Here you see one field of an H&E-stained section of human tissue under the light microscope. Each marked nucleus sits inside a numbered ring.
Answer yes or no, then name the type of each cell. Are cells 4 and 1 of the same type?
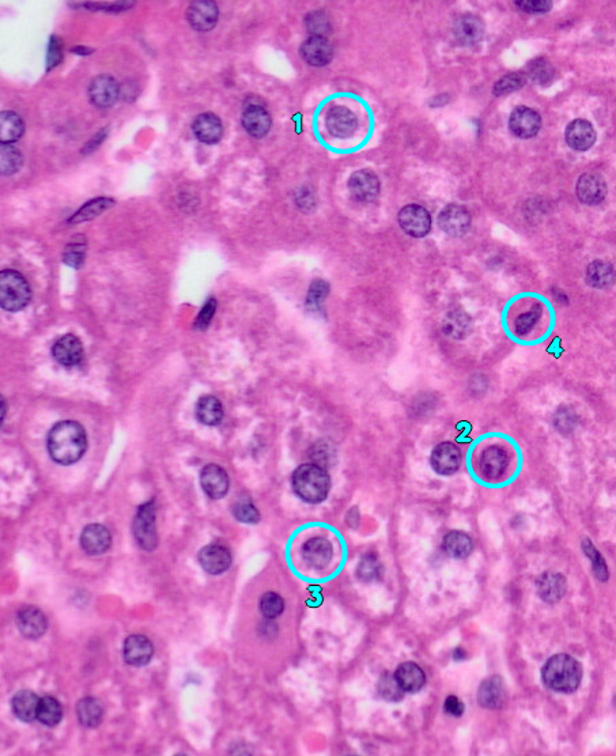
No, cell 4 is typed as a fibroblast or stellate cell, and cell 1 is typed as a hepatocyte.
